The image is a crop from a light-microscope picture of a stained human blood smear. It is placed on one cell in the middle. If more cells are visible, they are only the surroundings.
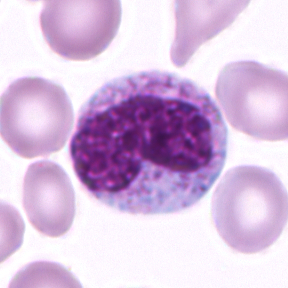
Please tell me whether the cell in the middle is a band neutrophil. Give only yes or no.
yes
